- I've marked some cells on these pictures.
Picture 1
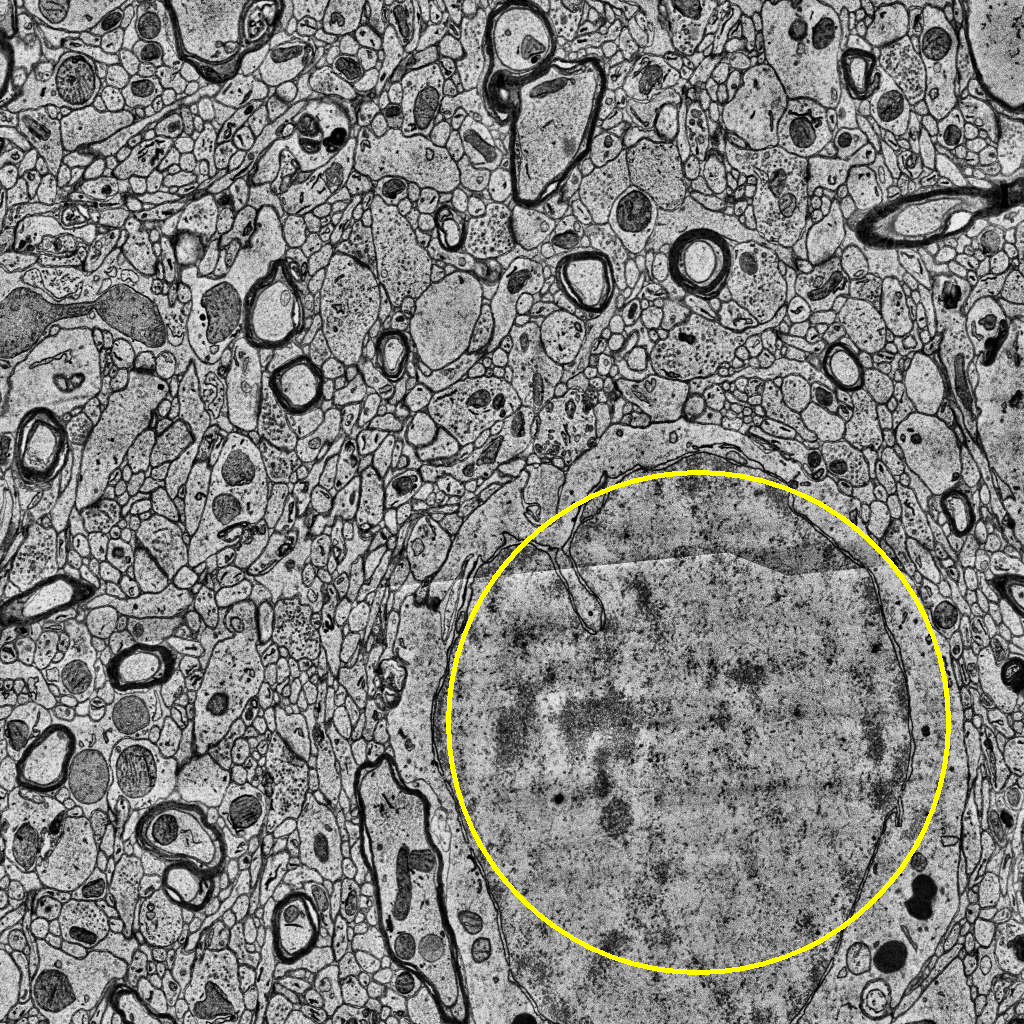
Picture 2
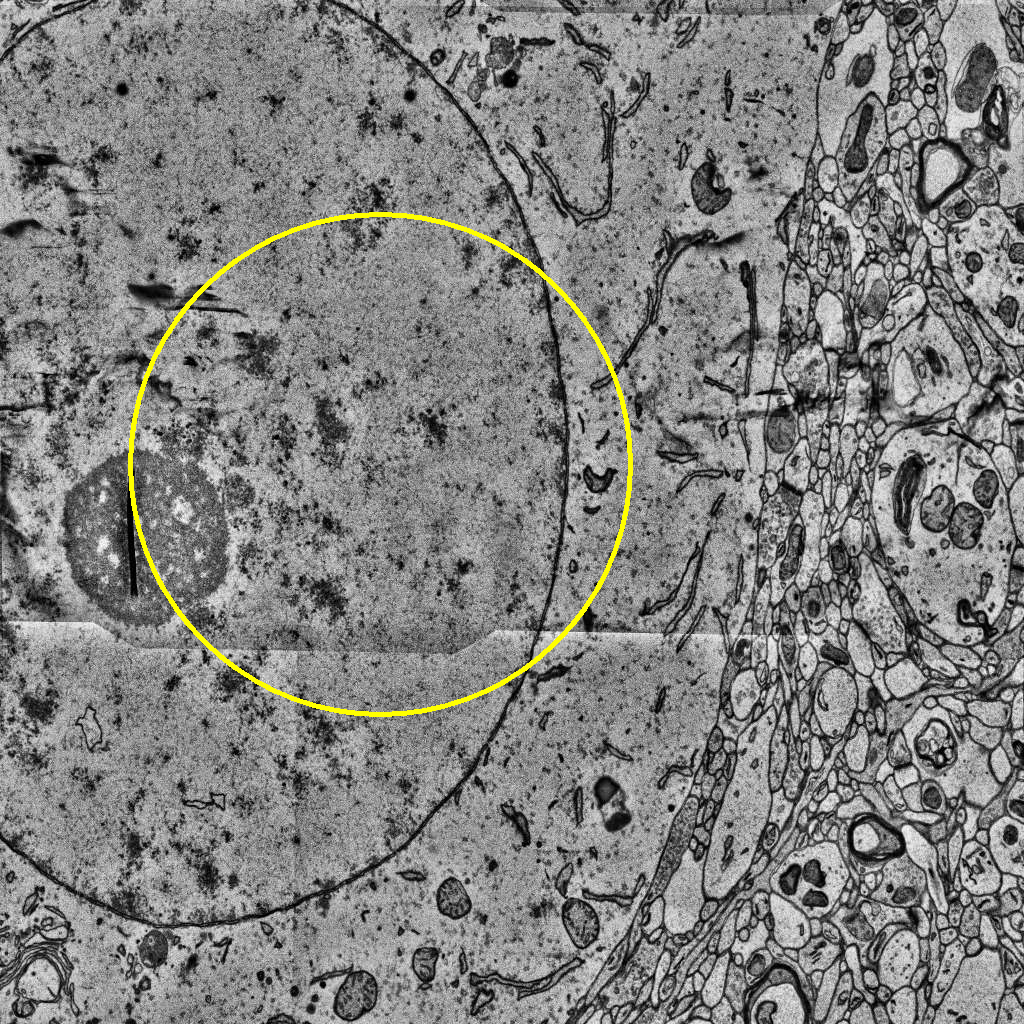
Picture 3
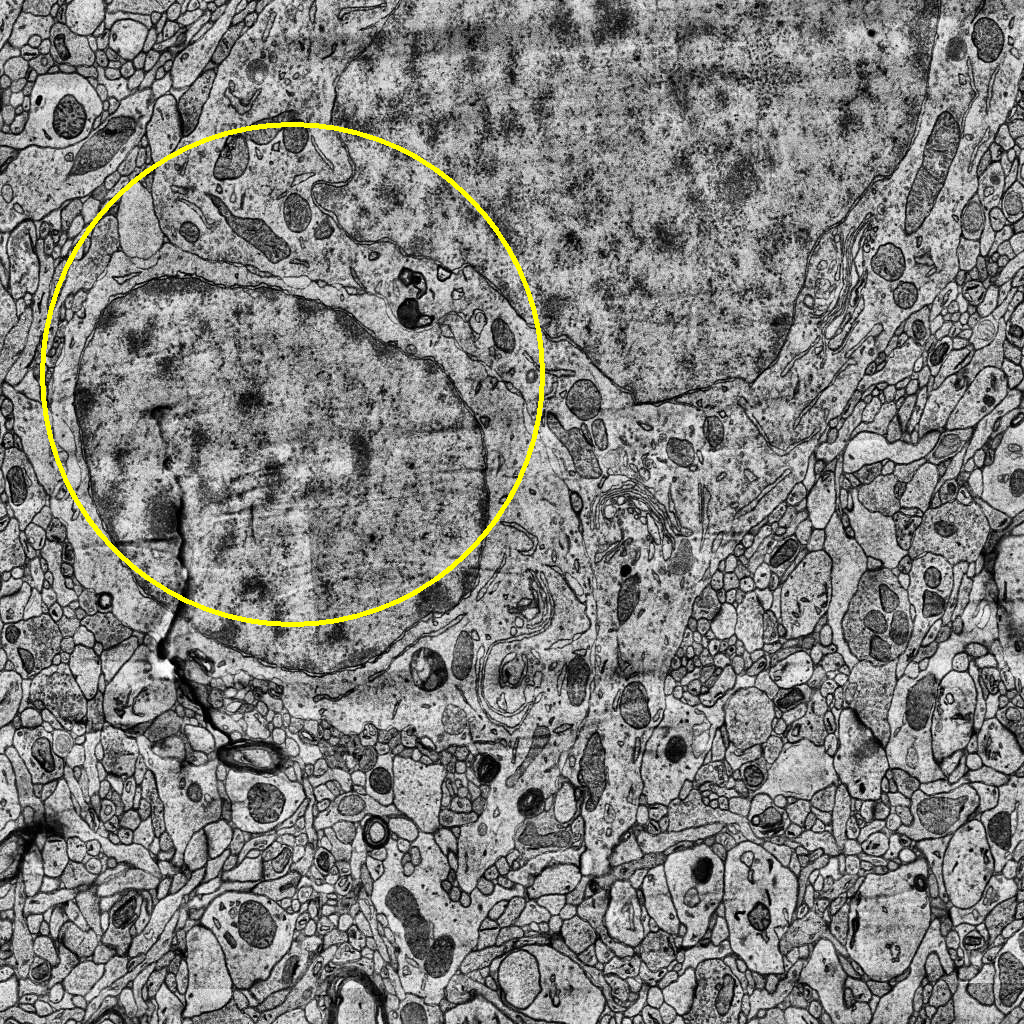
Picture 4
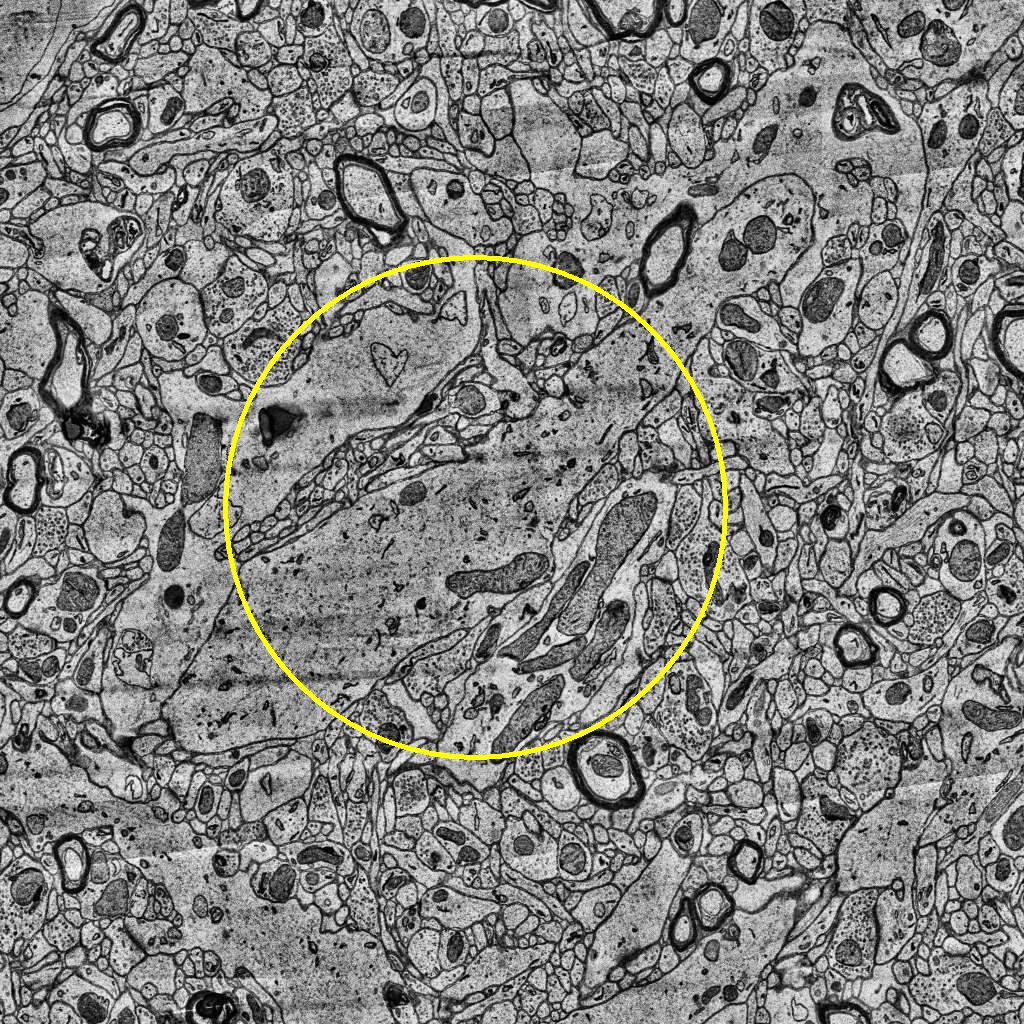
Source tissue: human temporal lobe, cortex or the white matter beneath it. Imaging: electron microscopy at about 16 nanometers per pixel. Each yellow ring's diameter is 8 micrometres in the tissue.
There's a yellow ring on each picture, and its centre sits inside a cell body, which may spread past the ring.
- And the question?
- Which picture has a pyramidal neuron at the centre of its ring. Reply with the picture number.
2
